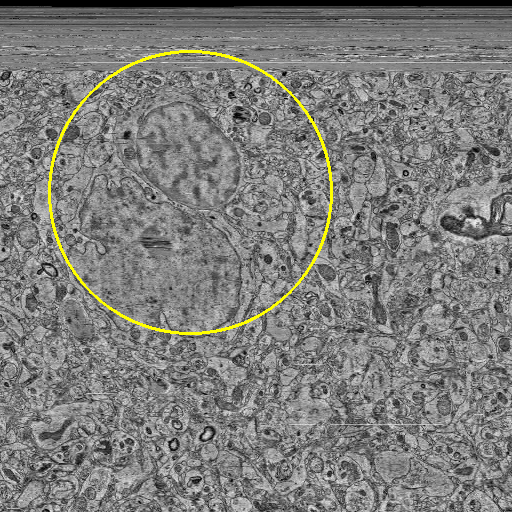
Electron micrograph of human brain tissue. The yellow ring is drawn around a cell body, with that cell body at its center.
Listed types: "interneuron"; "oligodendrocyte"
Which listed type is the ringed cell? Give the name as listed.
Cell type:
oligodendrocyte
